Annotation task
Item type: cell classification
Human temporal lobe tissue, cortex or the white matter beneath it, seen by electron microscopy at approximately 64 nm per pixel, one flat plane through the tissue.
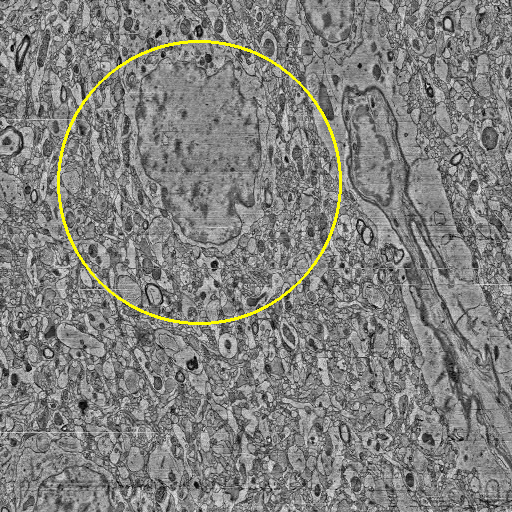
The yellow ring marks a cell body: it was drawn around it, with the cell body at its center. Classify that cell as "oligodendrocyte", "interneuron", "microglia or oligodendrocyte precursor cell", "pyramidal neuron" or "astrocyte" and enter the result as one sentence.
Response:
The ring's center falls on an interneuron.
